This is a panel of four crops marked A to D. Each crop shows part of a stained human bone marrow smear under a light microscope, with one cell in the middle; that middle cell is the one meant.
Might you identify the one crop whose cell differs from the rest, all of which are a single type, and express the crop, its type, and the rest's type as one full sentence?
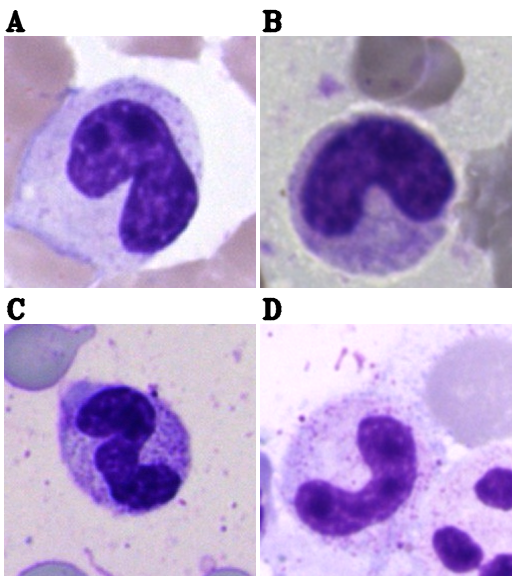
The central cell of crop C is a segmented neutrophil, while the other crops show band neutrophils.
